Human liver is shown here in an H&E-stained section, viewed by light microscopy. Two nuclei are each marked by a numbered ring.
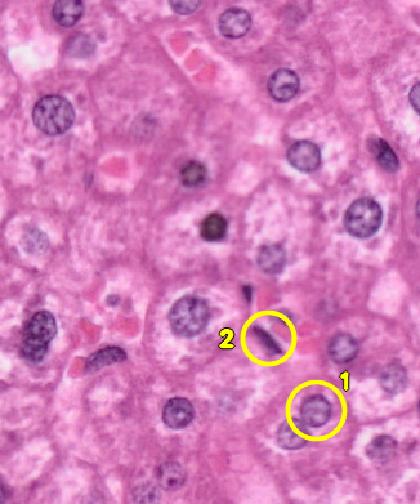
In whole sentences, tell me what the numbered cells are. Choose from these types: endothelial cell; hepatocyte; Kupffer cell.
Cell 1 is a hepatocyte. Cell 2 is an endothelial cell.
